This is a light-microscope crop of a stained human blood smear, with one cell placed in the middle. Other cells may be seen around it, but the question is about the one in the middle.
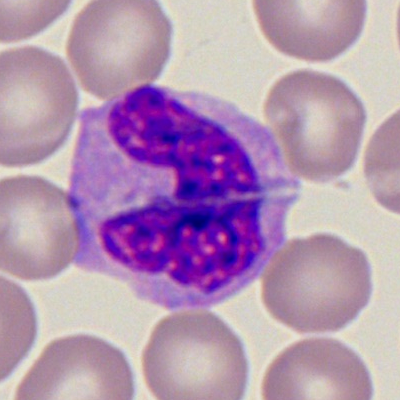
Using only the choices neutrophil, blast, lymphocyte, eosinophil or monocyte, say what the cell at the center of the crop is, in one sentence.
This crop is built around a monocyte at its centre.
